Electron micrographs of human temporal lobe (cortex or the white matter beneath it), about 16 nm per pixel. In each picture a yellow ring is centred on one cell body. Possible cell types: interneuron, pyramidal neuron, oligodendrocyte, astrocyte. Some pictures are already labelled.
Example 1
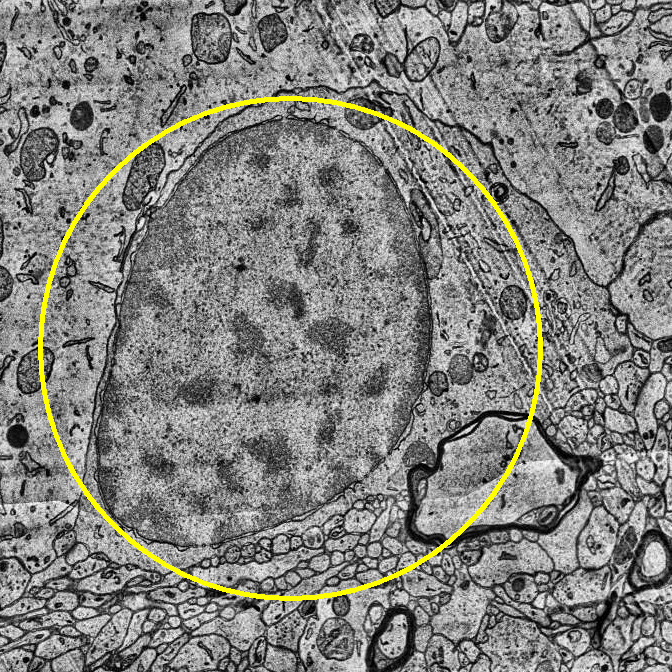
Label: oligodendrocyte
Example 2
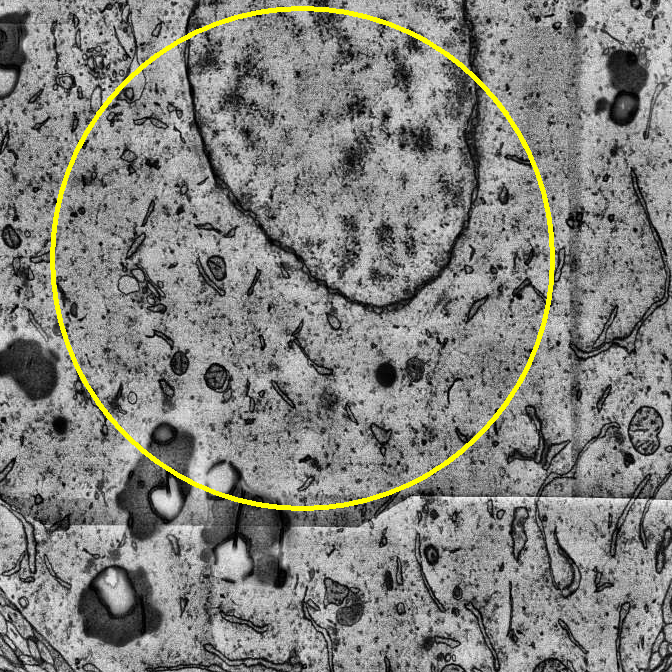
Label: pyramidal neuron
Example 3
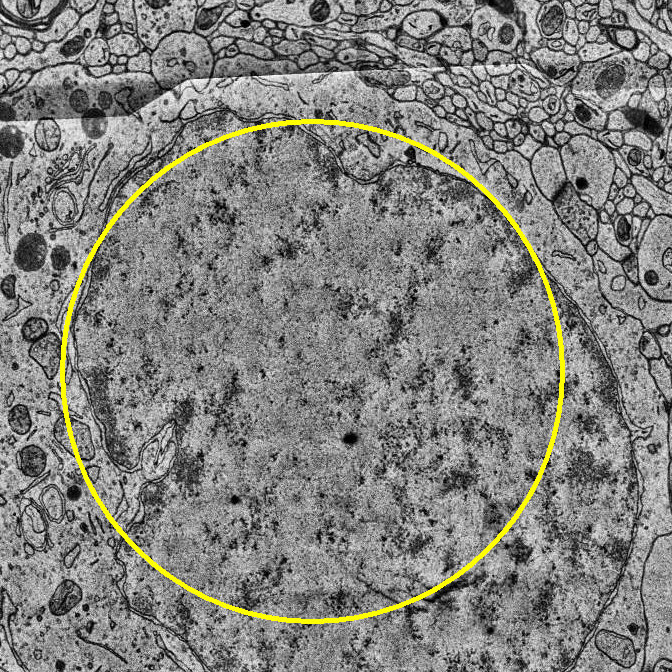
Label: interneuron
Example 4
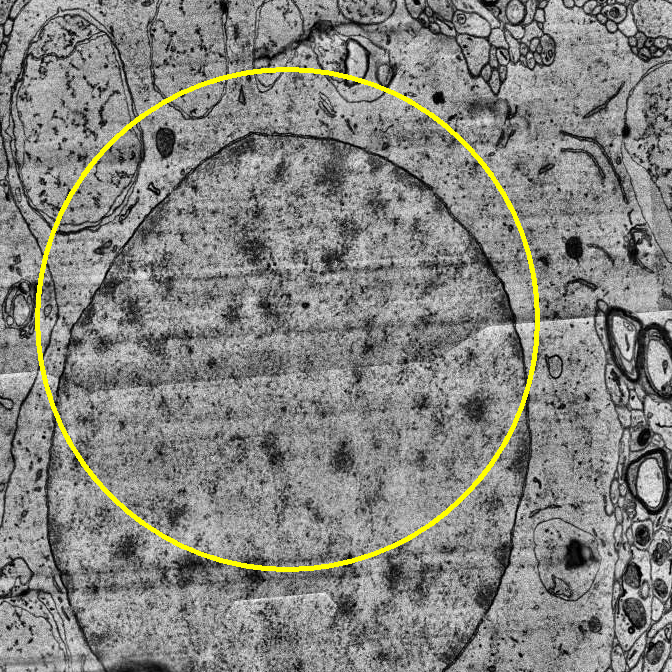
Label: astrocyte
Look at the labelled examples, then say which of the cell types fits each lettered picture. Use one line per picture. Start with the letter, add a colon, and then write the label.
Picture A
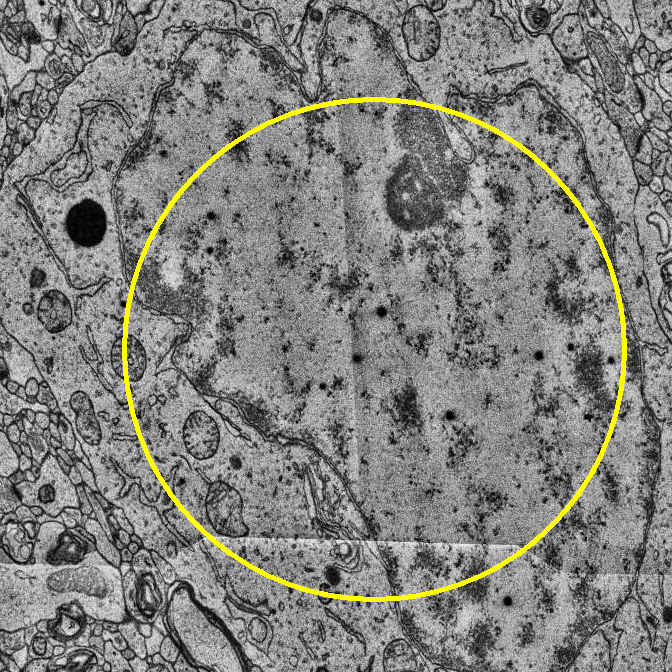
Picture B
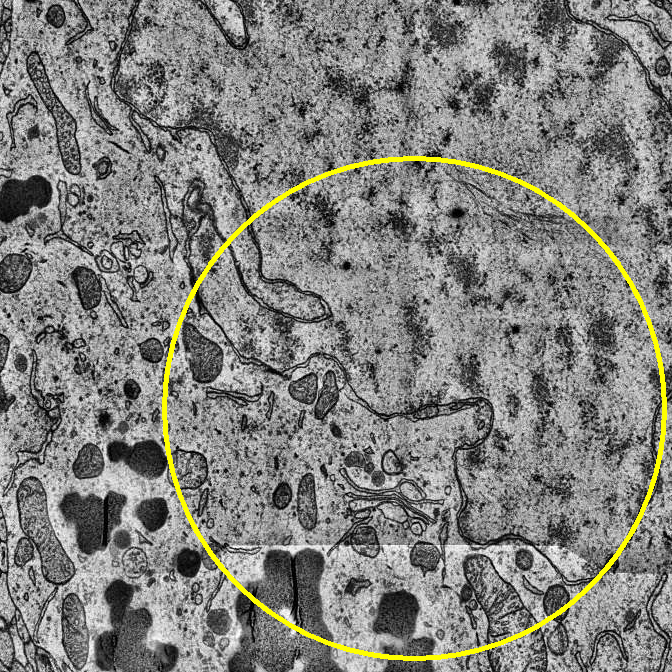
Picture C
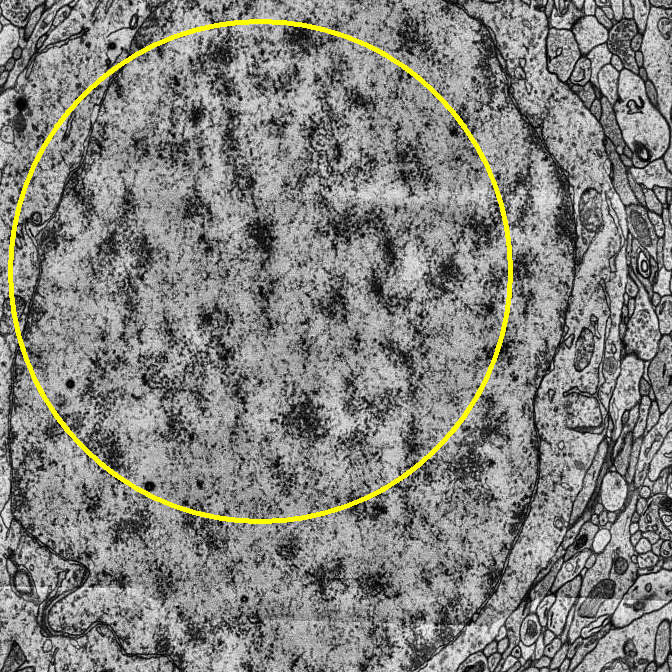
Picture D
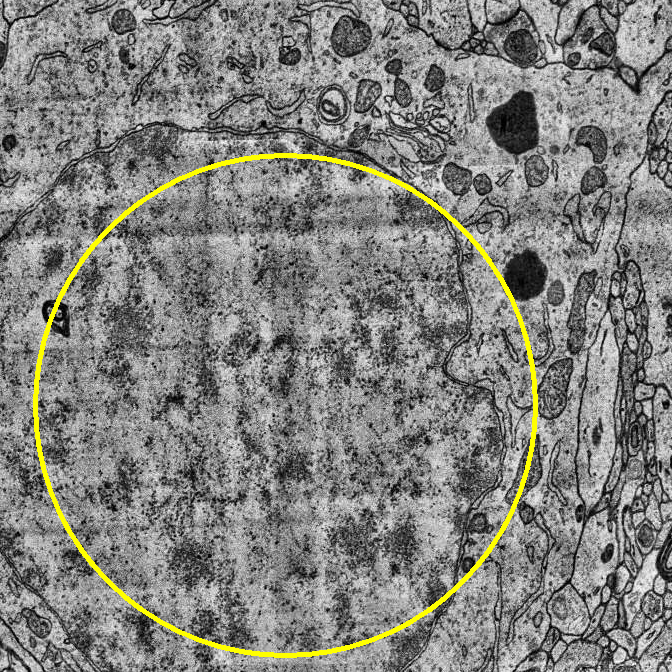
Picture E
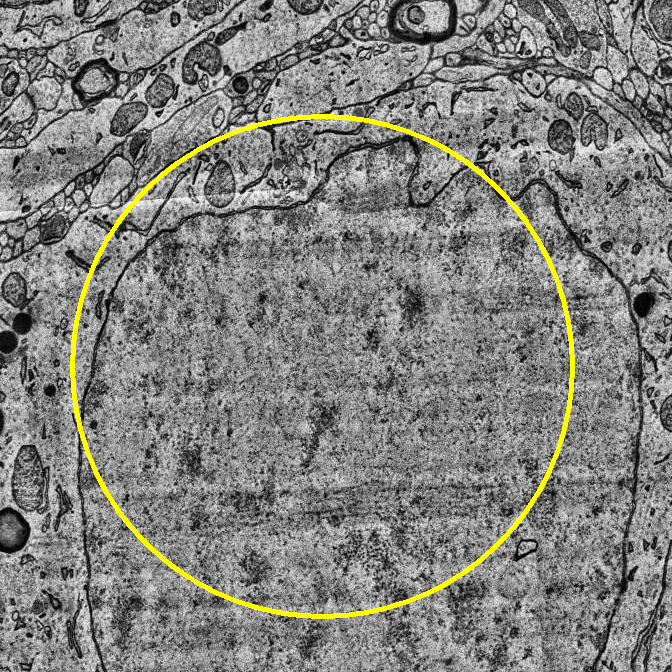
A: interneuron
B: interneuron
C: interneuron
D: interneuron
E: pyramidal neuron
